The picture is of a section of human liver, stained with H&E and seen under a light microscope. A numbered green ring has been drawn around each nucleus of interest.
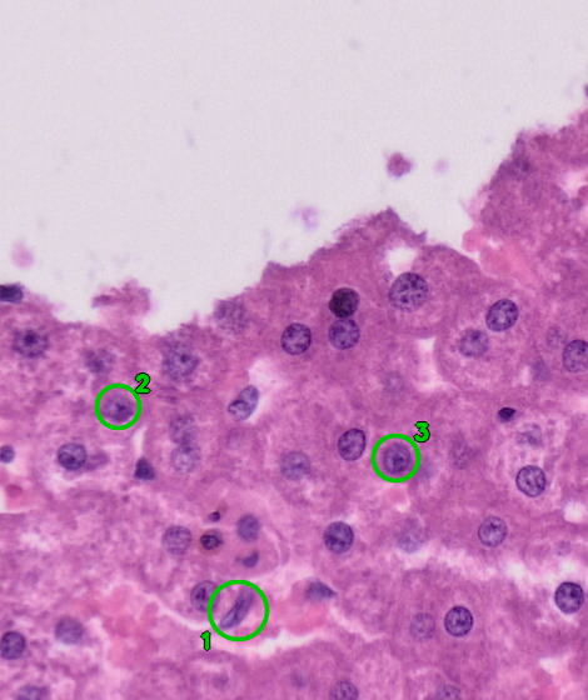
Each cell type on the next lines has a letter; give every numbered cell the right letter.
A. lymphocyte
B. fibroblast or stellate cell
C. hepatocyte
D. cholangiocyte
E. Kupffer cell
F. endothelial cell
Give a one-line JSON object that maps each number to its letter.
{"1": "E", "2": "C", "3": "C"}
